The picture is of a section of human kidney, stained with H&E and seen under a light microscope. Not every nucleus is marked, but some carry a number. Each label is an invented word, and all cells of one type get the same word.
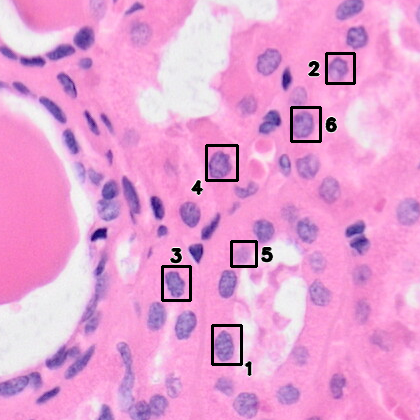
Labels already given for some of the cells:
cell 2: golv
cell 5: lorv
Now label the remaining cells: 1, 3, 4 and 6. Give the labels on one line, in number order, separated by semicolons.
lorv; lorv; golv; golv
